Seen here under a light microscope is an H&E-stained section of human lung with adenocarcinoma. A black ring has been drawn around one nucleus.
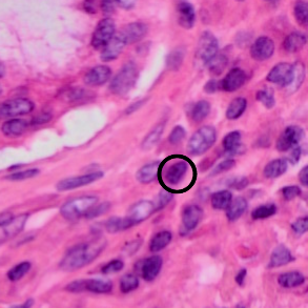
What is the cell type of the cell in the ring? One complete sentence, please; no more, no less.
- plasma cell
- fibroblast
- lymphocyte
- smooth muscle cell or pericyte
As classified here, the cell in the ring is a plasma cell.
